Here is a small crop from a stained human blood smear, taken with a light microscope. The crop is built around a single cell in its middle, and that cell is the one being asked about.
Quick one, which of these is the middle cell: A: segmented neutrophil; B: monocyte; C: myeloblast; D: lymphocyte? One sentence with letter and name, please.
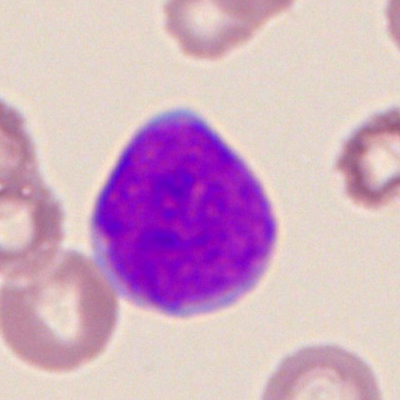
Option C is to be chosen, as the central cell is a myeloblast.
